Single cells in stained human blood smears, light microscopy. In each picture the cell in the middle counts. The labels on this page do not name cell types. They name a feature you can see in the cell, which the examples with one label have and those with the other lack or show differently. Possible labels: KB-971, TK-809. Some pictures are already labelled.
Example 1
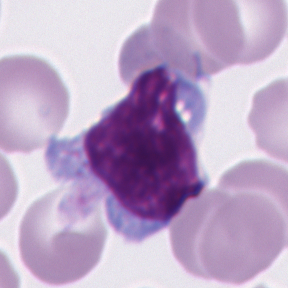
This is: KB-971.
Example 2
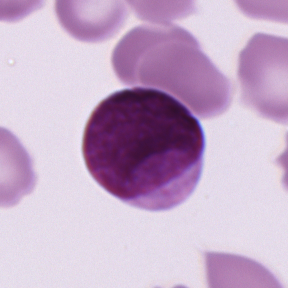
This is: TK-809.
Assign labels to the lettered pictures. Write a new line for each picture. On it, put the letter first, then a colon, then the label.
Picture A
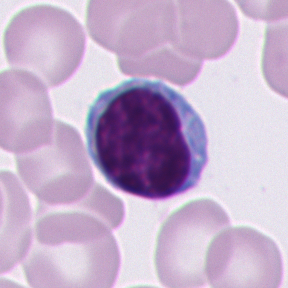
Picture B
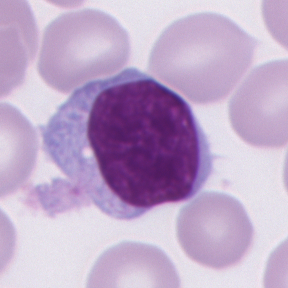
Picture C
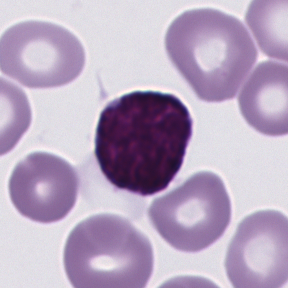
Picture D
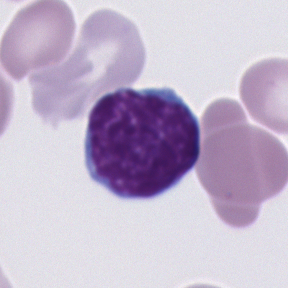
A: TK-809.
B: KB-971.
C: KB-971.
D: TK-809.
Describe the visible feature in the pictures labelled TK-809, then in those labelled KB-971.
TK-809: smooth outline; KB-971: ragged outline or projections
